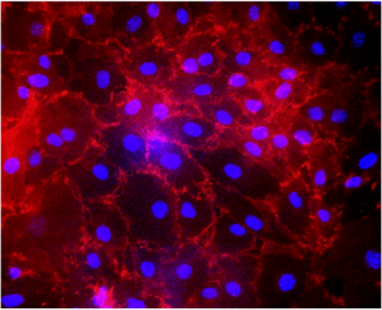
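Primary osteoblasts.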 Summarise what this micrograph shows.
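Red labeling forms an irregular network of lines along the boundaries between adjacent cells, outlining their shapes. Some diffuse red is also seen in the cytoplasm, brighter in places where cells overlap.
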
